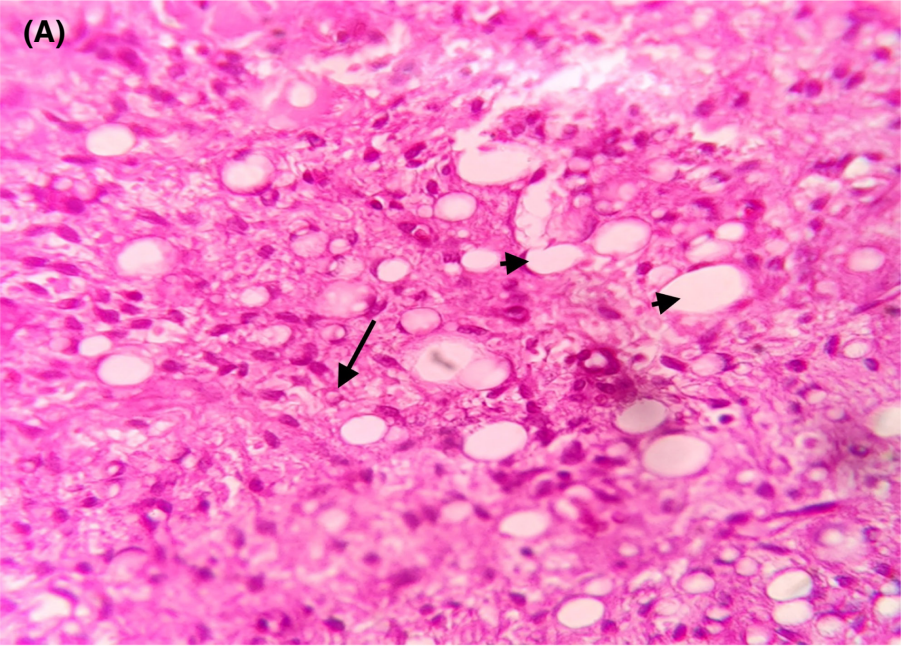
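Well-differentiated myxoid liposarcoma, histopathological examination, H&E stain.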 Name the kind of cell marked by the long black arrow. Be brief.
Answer: Lipoblasts.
